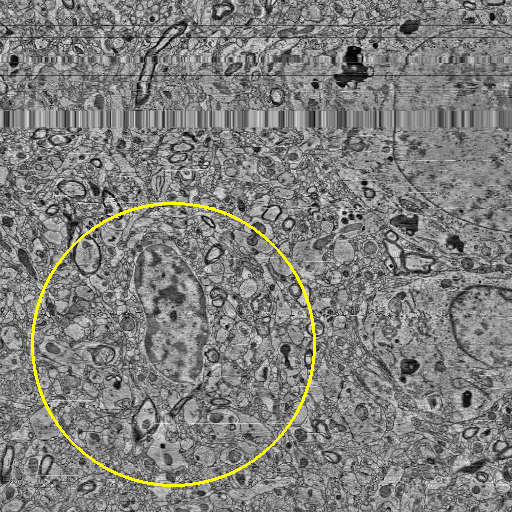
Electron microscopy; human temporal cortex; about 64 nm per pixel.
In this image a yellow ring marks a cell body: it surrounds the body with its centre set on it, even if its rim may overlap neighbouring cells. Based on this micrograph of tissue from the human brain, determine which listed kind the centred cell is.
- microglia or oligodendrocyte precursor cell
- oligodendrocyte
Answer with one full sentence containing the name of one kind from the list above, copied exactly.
It is a microglial cell or oligodendrocyte precursor cell whose body the yellow ring encloses at its centre.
